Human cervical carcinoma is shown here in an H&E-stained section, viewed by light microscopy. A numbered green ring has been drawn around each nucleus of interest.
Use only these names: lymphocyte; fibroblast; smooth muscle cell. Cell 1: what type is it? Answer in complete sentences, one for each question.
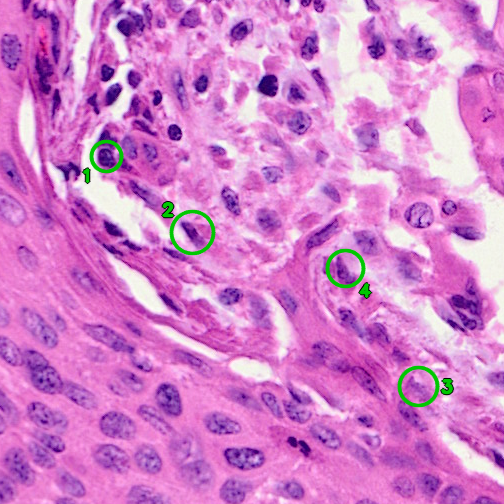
The cell marked with number 1 is a lymphocyte.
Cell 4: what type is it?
The numbered cell 4 is identified here as a fibroblast.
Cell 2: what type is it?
The cell to which the number 2 is assigned is a fibroblast.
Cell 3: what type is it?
Identified by the number 3, the cell is a fibroblast.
